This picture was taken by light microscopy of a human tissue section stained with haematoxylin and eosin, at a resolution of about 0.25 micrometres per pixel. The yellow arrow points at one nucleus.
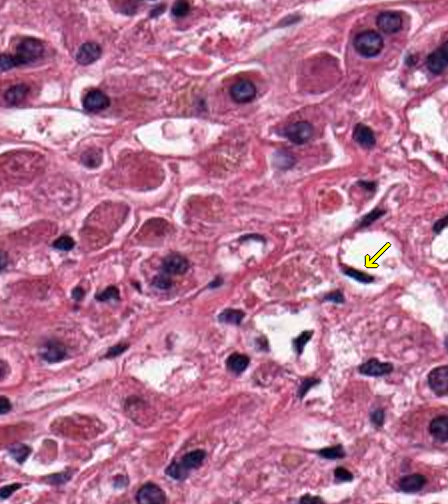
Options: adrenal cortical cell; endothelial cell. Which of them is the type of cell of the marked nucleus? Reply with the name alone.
endothelial cell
